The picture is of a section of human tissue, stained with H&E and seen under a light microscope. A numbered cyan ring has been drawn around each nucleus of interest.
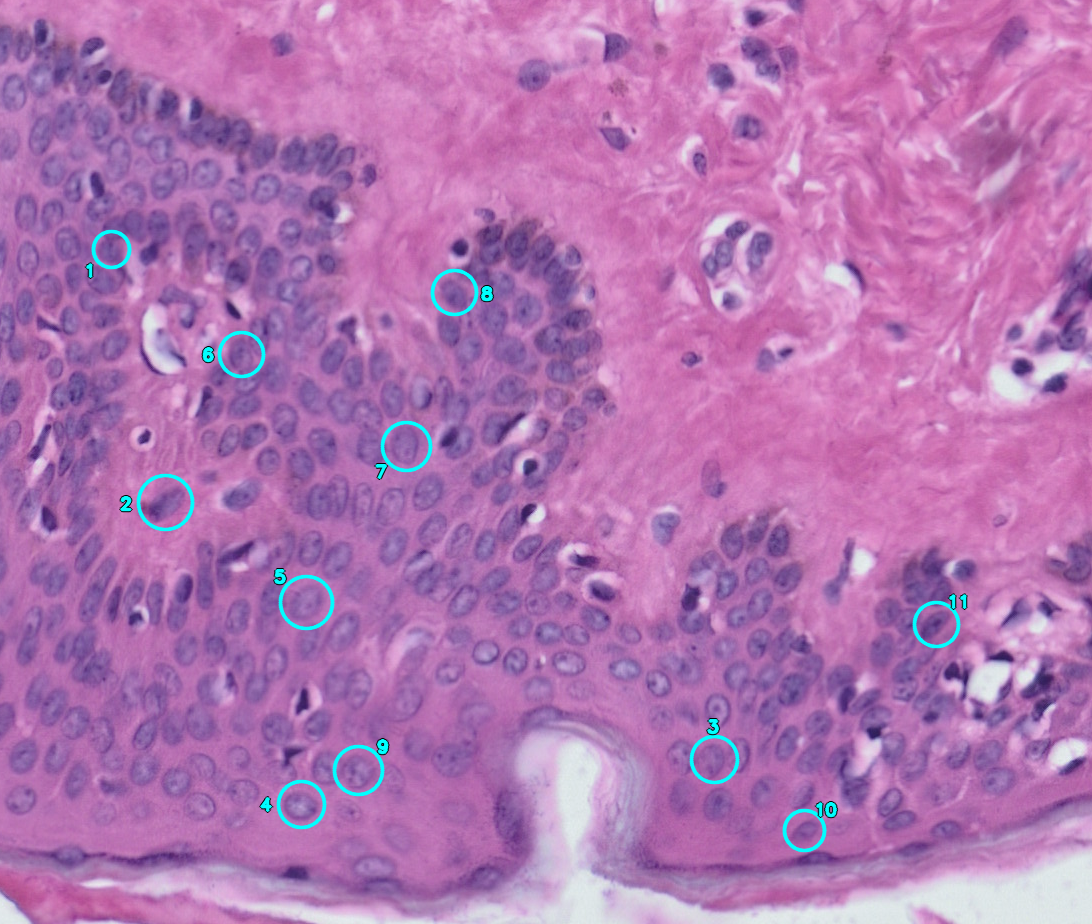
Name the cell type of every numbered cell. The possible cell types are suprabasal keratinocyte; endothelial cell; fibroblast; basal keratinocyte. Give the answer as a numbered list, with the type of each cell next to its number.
1. basal keratinocyte
2. fibroblast
3. suprabasal keratinocyte
4. suprabasal keratinocyte
5. suprabasal keratinocyte
6. basal keratinocyte
7. suprabasal keratinocyte
8. basal keratinocyte
9. suprabasal keratinocyte
10. suprabasal keratinocyte
11. basal keratinocyte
